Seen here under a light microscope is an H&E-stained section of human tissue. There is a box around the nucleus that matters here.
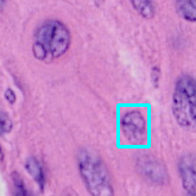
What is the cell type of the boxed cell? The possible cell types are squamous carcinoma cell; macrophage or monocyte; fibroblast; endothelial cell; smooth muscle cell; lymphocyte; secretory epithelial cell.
squamous carcinoma cell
